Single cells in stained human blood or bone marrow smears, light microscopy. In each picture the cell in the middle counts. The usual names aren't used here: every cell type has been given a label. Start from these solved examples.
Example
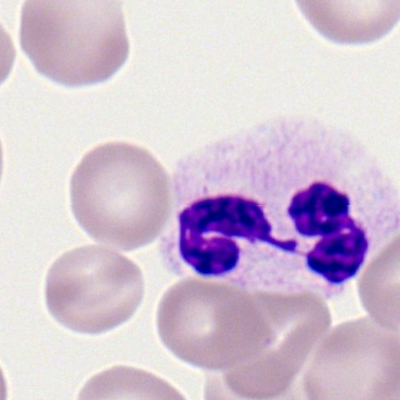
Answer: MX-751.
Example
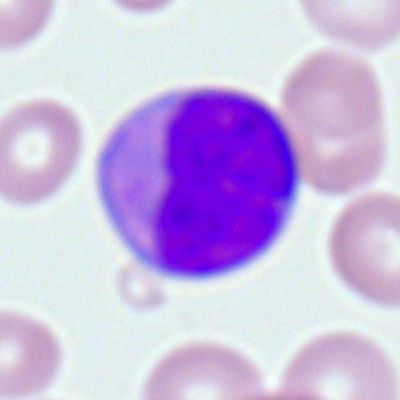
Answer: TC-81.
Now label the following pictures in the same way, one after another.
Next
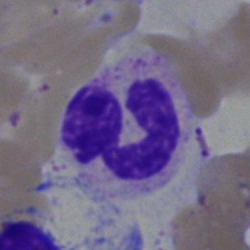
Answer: MX-751.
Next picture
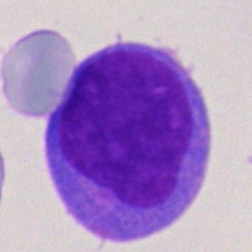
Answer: TC-81.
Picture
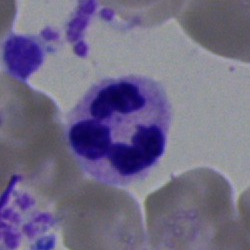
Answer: MX-751.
